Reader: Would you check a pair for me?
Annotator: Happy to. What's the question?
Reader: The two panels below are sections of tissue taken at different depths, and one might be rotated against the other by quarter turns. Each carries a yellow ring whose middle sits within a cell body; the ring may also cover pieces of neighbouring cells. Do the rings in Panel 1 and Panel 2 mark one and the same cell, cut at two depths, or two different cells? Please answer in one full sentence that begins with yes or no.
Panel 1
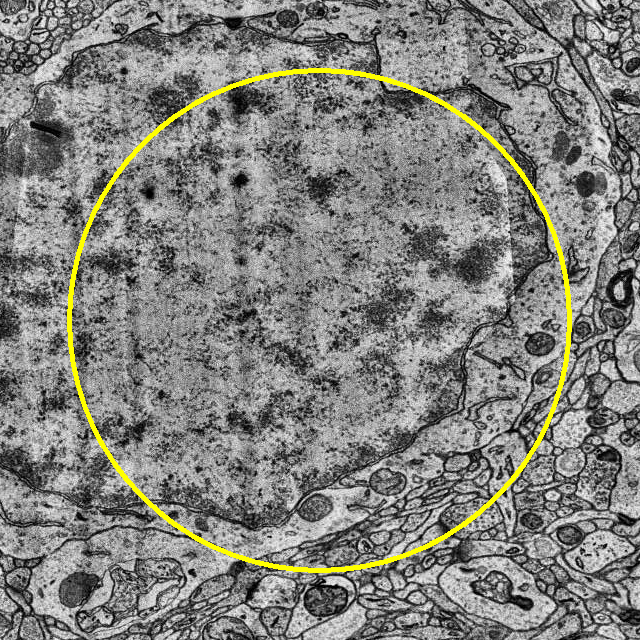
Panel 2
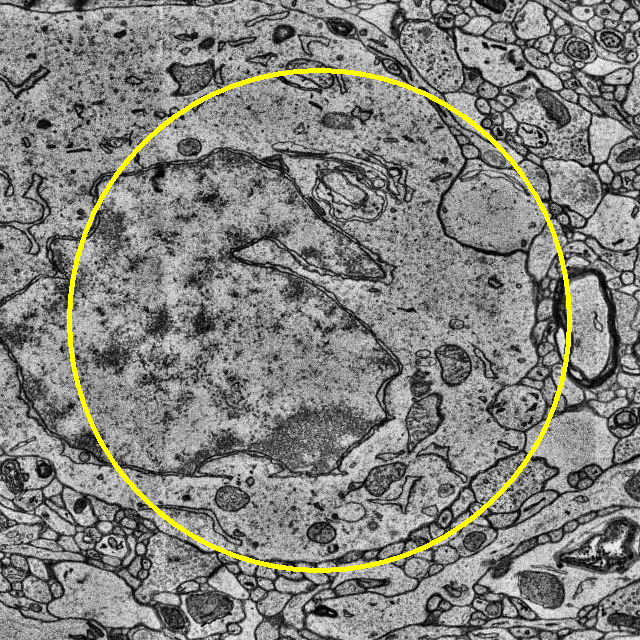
No, one ring marks one cell and the other ring marks another.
